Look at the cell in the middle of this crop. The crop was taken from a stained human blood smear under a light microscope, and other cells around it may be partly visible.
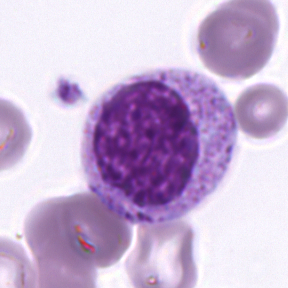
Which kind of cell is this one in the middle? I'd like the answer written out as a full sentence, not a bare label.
The cell centred in this crop is categorized as a myelocyte.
